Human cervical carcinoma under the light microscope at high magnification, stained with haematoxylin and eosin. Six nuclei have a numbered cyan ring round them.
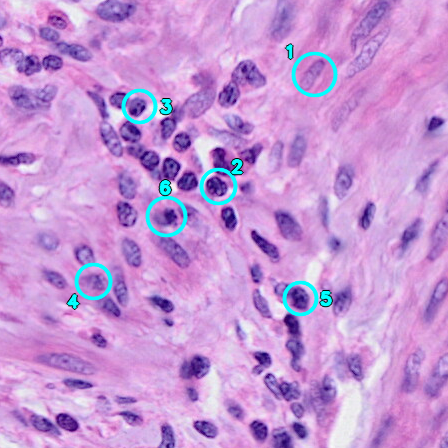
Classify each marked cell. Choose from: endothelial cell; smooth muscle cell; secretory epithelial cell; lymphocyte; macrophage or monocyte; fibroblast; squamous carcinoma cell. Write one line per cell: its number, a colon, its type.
1: smooth muscle cell
2: lymphocyte
3: lymphocyte
4: smooth muscle cell
5: lymphocyte
6: lymphocyte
